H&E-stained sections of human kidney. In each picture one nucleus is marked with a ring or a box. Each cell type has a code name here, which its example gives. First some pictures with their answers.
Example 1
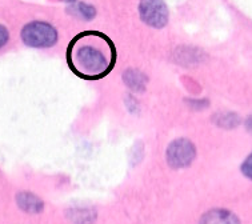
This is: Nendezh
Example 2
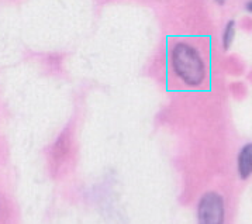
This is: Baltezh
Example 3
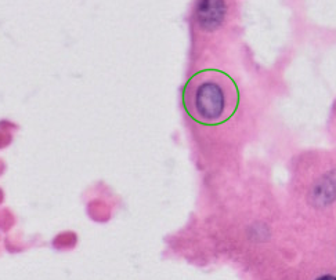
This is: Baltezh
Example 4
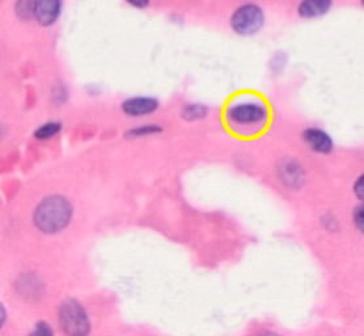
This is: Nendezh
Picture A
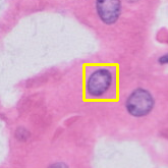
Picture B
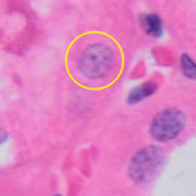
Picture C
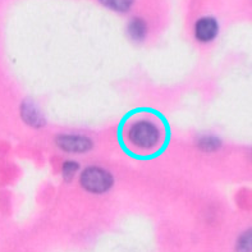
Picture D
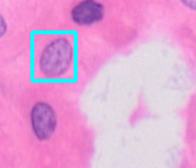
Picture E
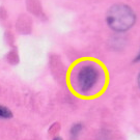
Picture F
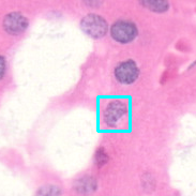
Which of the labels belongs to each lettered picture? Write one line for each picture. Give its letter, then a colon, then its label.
A: Baltezh
B: Baltezh
C: Nendezh
D: Baltezh
E: Baltezh
F: Nendezh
